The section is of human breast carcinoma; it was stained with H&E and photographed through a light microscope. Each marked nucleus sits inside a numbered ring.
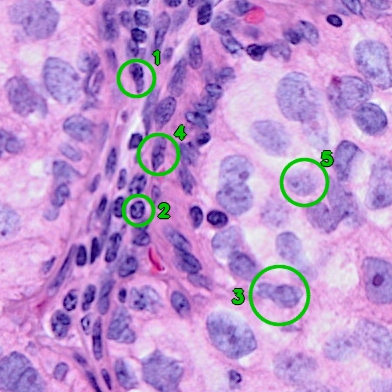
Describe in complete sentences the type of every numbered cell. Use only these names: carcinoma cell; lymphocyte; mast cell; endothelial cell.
Cells 1 and 2 are lymphocytes. Cells 3 and 5 are carcinoma cells. Cell 4 is an endothelial cell.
